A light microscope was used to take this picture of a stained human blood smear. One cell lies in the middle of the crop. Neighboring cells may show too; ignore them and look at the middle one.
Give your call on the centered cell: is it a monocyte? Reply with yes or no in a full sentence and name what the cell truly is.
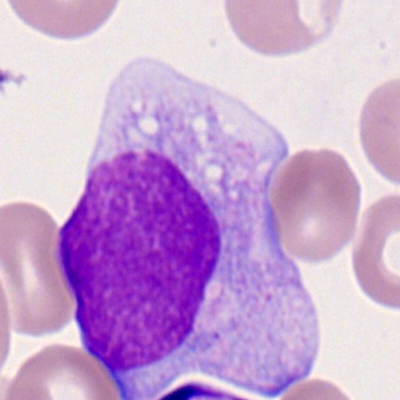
Yes, the identification of the central cell as a monocyte is correct.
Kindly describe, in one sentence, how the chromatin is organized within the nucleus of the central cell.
No coarse chromatin clumps are present; the pattern is fine.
